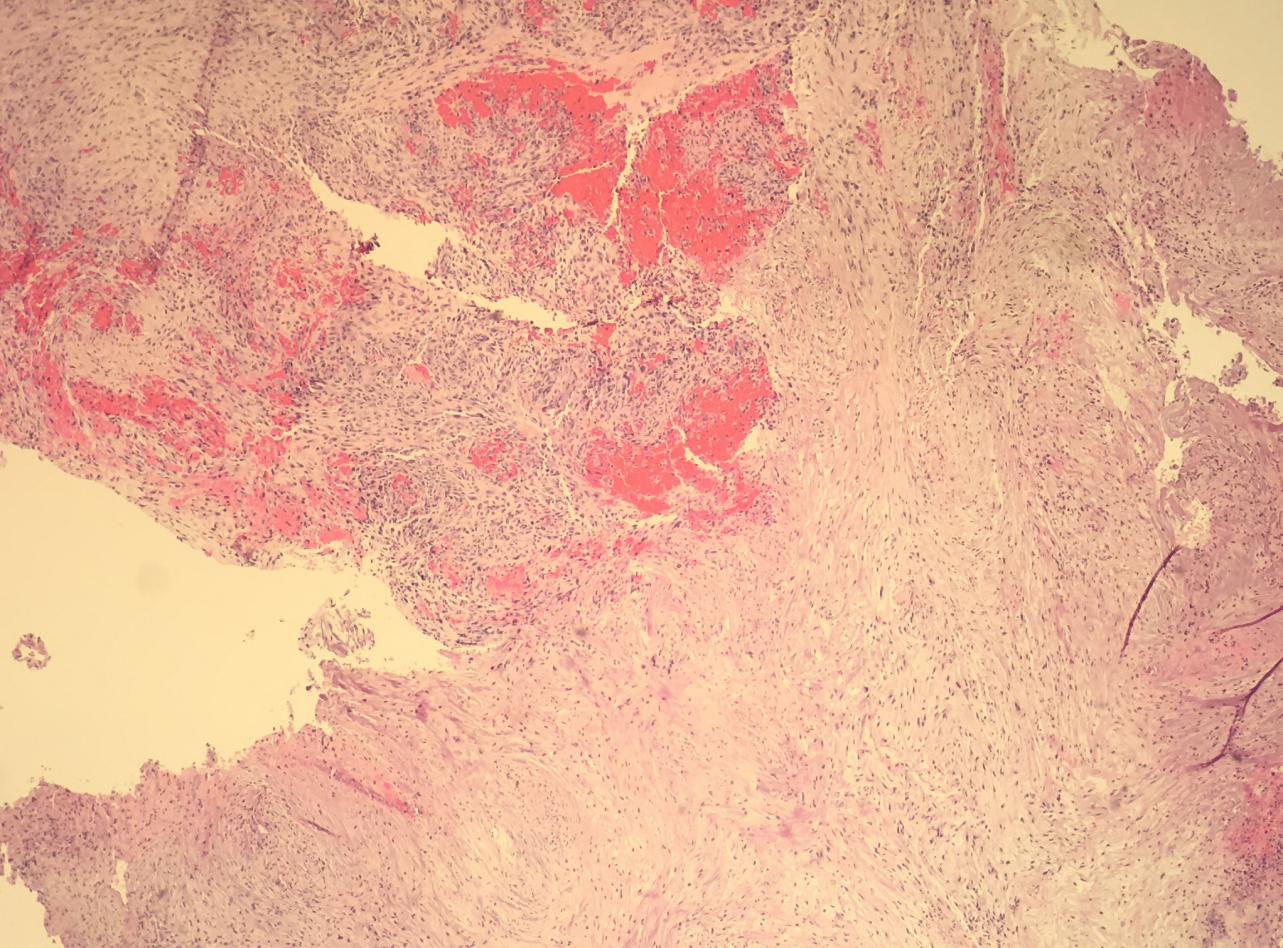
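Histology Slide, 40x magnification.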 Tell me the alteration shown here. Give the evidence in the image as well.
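Densely cellular tissue with many dark nuclei in the upper left. Paler, less cellular tissue of elongated cells in streaming fascicles in the lower right. The change between the two regions occurs over a short distance. So: relatively abrupt transition to a more paucicellular spindle cell proliferation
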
